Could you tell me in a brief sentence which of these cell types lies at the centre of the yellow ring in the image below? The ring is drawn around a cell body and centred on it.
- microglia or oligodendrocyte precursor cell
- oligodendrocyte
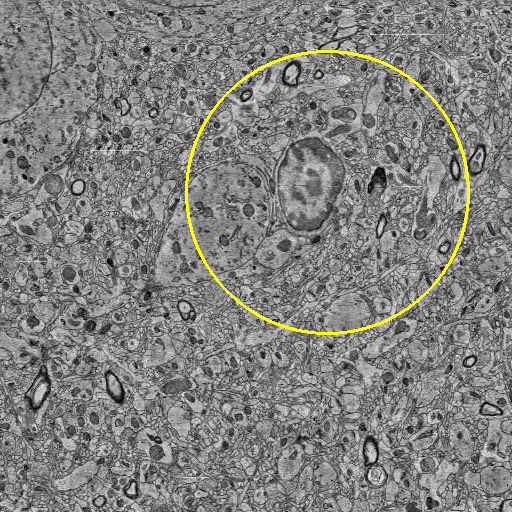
The cell centred in the ring is a microglial cell or oligodendrocyte precursor cell.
